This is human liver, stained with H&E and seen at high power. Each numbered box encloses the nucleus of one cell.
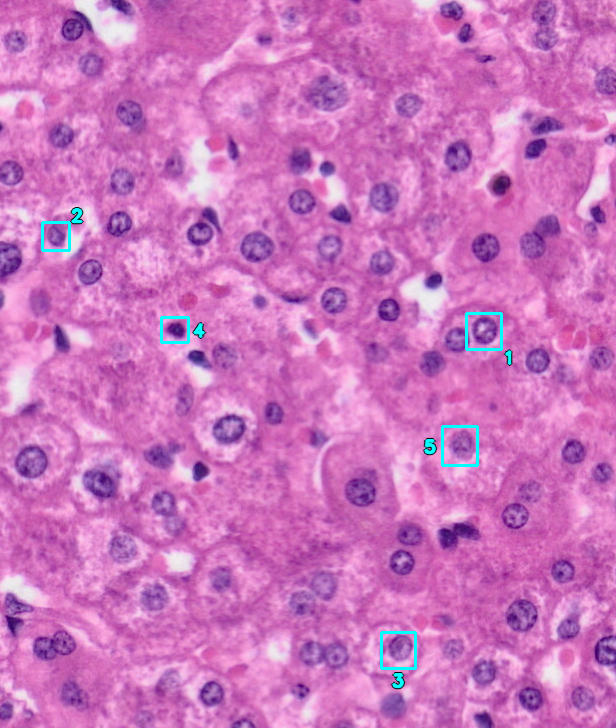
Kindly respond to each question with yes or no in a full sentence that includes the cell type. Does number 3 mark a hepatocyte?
Yes, the numbered nucleus 3 is that of a hepatocyte.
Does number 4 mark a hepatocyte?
No, in terms of cell type, cell 4 is a lymphocyte, not a hepatocyte.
